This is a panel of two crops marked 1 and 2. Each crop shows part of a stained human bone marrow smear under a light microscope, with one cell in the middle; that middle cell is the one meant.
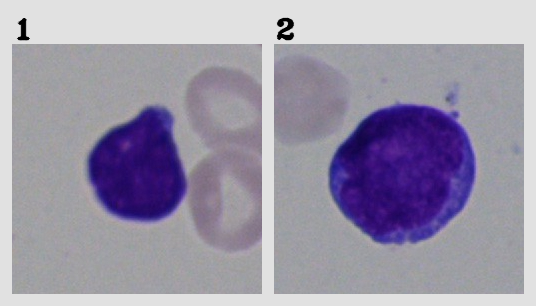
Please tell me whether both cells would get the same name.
yes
